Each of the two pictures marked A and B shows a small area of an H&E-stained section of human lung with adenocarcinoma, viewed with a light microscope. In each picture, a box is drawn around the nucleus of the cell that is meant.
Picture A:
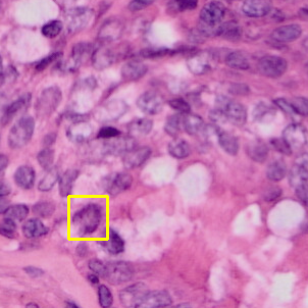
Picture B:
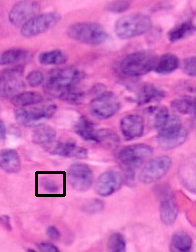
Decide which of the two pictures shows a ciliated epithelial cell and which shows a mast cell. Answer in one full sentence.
Picture B shows a mast cell, while picture A shows a ciliated epithelial cell.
